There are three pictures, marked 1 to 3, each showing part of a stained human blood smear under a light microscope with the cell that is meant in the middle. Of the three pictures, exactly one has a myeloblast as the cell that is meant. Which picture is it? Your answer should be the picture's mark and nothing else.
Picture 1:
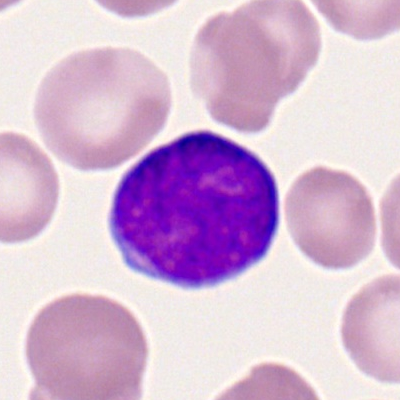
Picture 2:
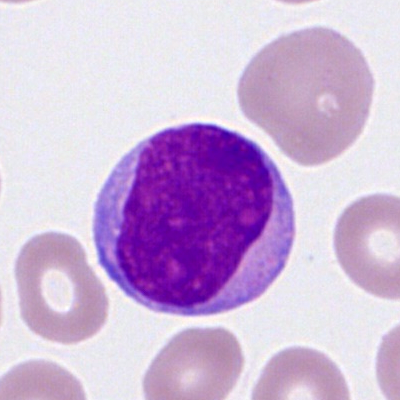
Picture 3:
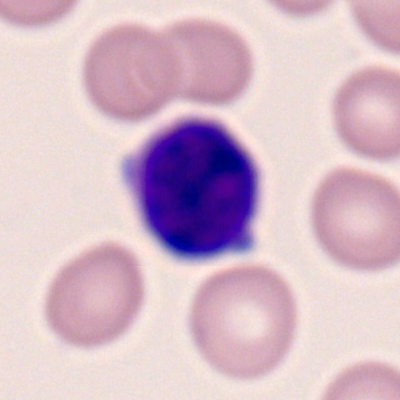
2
